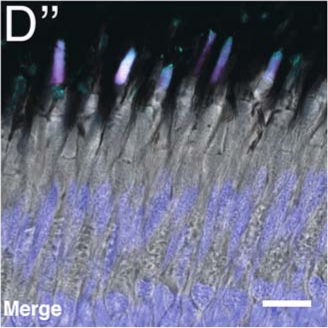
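This is a section through the outer retina showing photoreceptor cells, with their elongated, tapering outer segments aligned in a row at the top of the field. Some outer segments are labelled cyan and some also magenta, overlapping to pale violet, while the others remain unlabelled in the brightfield. Below them, the slender inner parts of the photoreceptors run down to a layer of densely packed blue-stained nuclei.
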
